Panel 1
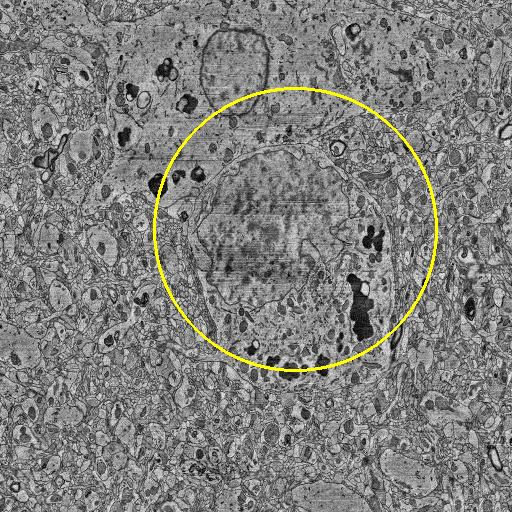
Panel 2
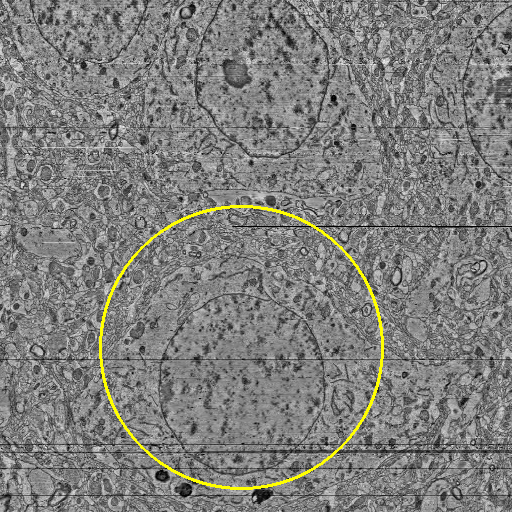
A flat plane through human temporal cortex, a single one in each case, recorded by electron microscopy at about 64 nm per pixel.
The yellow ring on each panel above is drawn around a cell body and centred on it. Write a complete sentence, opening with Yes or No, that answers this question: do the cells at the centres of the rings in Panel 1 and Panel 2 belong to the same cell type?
No, the two cells belong to two cell types.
